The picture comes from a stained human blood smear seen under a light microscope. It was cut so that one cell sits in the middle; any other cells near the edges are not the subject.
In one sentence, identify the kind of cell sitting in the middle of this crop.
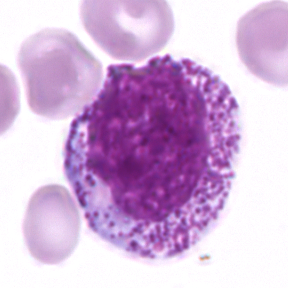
The cell marked by its central position in the crop is a myelocyte.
